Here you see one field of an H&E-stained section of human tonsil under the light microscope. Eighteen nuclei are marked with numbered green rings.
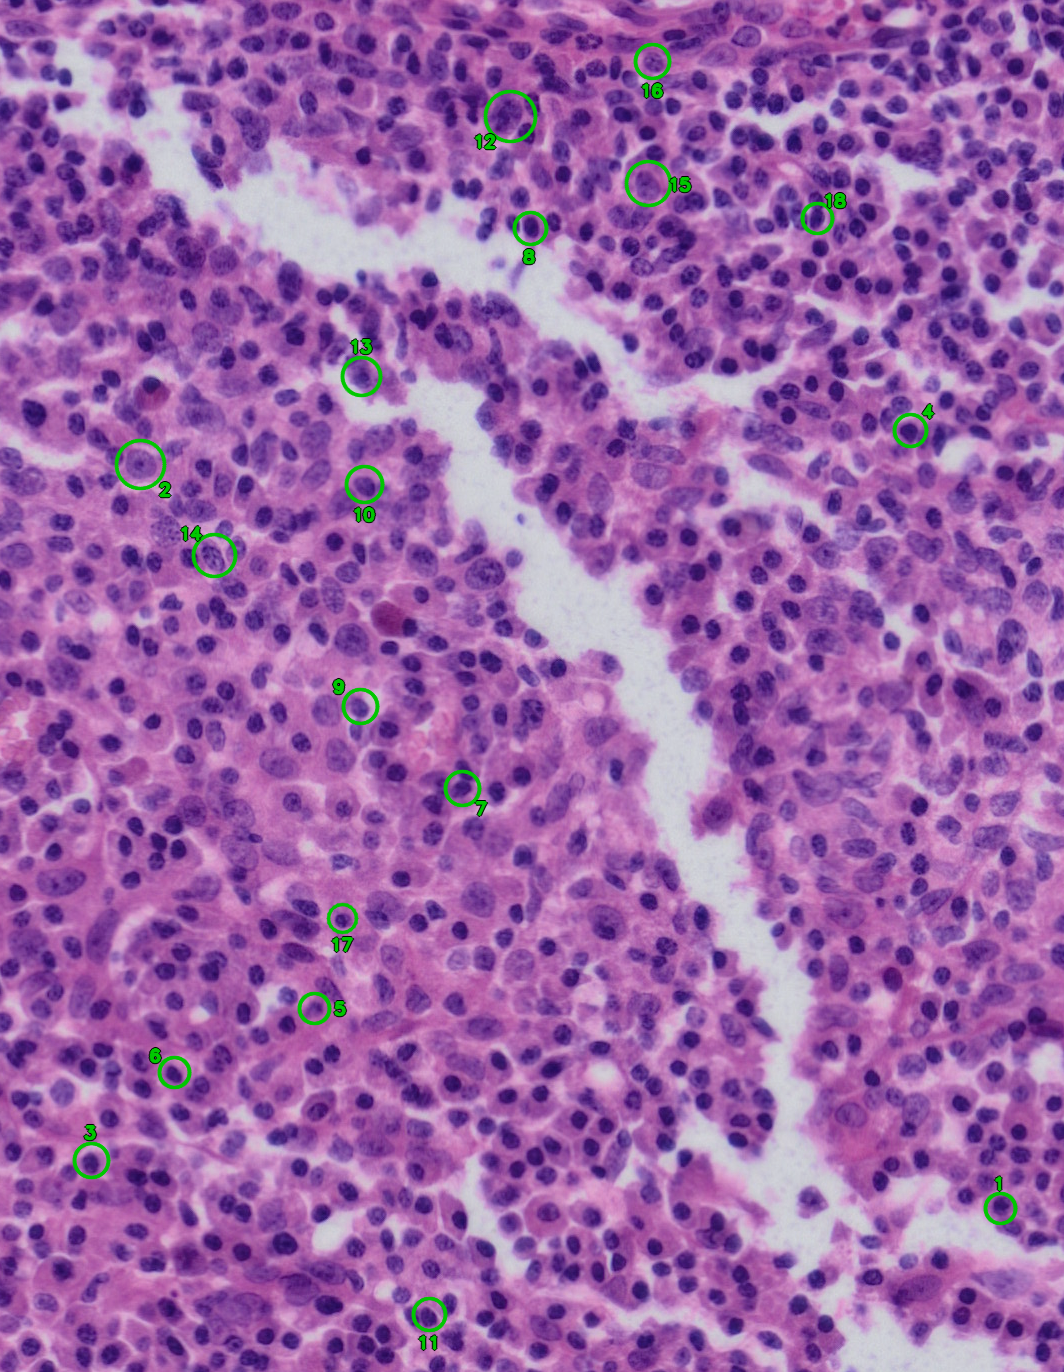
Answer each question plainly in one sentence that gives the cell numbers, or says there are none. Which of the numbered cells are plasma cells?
The cells with the numbers 1, 3, 4, 6, 7, 8, 11, 14, 16 and 18 are plasma cells.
